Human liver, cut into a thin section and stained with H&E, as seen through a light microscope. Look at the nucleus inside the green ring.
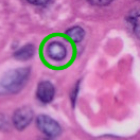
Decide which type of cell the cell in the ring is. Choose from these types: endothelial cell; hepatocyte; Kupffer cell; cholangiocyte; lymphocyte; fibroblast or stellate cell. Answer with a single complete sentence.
In cell-type terms, the cell in the ring is a cholangiocyte.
